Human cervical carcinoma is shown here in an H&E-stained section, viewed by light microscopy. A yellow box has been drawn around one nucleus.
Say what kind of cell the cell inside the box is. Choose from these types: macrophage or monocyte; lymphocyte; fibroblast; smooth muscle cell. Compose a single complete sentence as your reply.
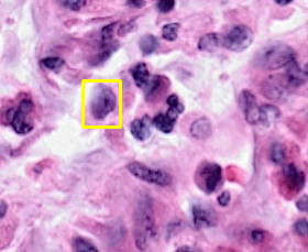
The cell type represented by the cell inside the box is that of a macrophage or monocyte.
